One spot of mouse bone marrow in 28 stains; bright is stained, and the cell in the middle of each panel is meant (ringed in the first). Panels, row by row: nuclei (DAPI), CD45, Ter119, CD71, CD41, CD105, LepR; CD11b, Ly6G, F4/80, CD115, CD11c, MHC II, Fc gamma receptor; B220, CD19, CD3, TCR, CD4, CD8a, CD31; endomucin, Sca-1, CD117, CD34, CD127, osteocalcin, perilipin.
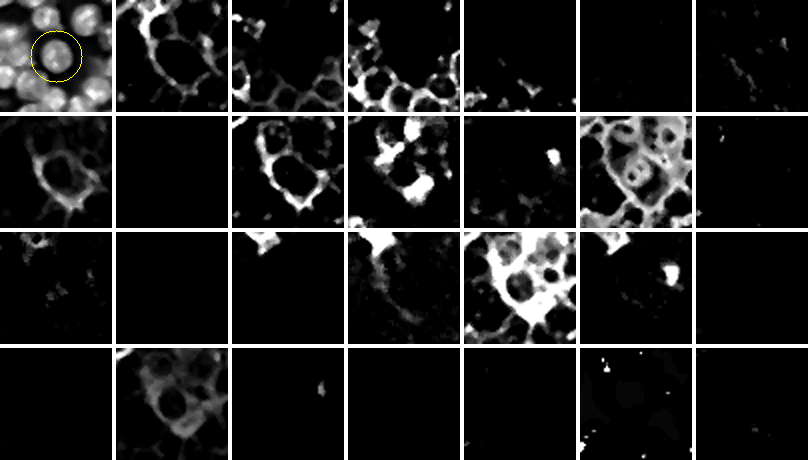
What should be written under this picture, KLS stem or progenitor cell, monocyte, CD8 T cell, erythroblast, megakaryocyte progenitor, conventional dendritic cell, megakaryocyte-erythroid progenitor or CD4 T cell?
monocyte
